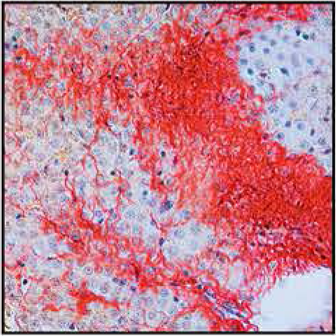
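A broad, dense band of intensely red fibres sweeps diagonally across the field, with darker fibrillar texture inside it. From this band, thinner red strands branch out and wrap around small groups of pale hepatocytes, whose round nuclei appear faintly blue-grey. A pale clear space borders the band at the right. The parenchyma is thus divided by thick and fine red-staining septa, an appearance of marked fibrous scarring rather than the thin, inconspicuous connective tissue of normal liver.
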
